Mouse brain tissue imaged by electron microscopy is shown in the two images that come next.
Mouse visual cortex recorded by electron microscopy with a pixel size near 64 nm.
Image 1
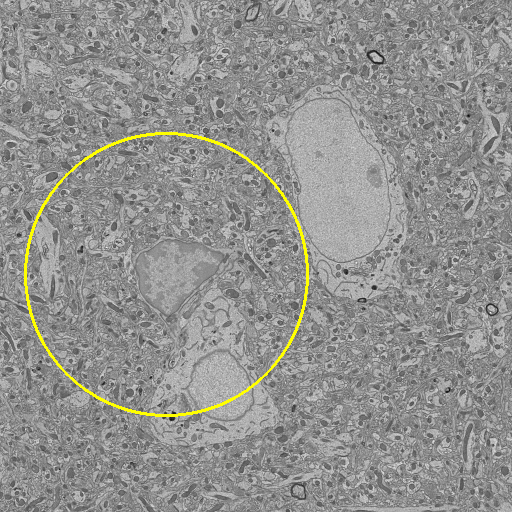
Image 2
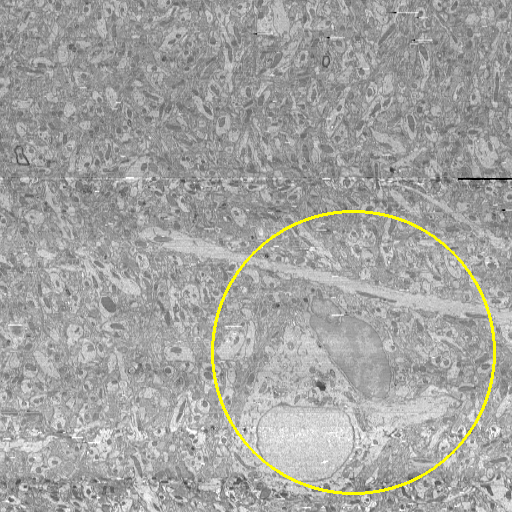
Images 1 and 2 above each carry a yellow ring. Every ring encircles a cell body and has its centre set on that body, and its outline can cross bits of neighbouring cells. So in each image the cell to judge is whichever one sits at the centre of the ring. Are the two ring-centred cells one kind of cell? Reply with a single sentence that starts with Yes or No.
Yes, in Image 1 and Image 2 the cells at the centres of their rings fall into one type.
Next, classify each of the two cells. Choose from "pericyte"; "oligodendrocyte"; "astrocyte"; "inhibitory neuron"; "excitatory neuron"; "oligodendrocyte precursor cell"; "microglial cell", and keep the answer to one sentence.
In each of the two pictures, the ringed cell is a microglial cell.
